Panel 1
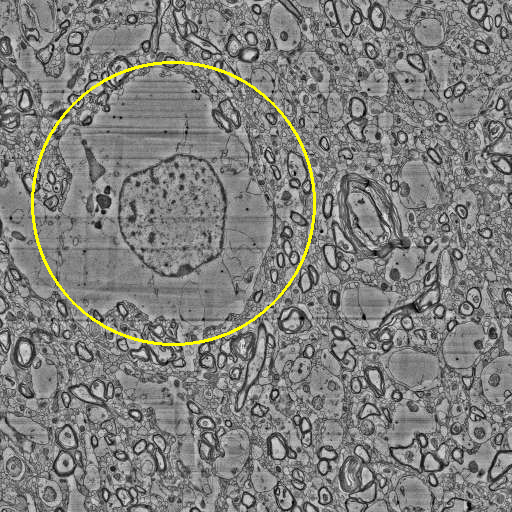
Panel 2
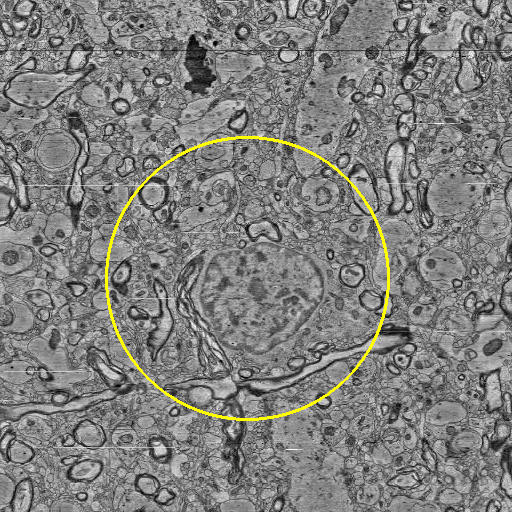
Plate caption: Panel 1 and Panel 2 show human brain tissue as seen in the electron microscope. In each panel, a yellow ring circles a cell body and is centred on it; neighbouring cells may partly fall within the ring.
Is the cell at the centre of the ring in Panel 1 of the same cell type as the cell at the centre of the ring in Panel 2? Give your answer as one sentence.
No, the two cells are of two types.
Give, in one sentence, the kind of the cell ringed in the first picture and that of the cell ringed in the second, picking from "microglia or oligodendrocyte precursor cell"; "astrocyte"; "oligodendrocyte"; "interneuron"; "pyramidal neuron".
For the first picture it is an astrocyte; for the second, an oligodendrocyte.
